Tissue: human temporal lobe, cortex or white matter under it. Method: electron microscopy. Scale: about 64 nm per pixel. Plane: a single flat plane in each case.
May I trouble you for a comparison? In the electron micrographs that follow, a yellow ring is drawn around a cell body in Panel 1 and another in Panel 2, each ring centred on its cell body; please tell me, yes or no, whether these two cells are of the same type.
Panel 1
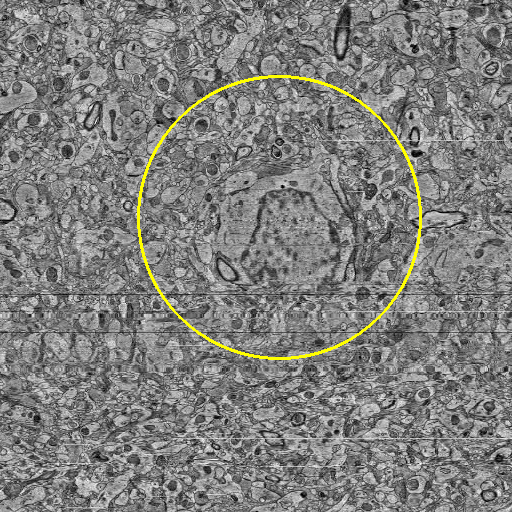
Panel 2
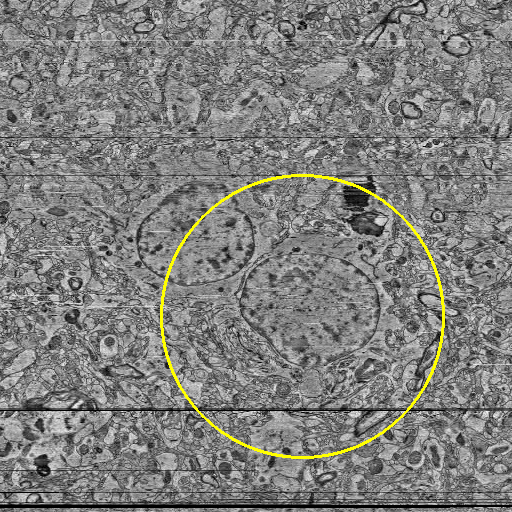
yes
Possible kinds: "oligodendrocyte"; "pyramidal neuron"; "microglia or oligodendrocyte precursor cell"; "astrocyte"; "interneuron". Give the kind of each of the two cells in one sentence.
In both pictures the ring is centred on an astrocyte.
